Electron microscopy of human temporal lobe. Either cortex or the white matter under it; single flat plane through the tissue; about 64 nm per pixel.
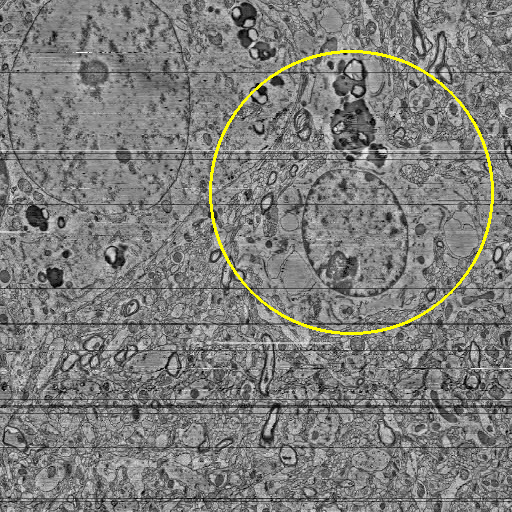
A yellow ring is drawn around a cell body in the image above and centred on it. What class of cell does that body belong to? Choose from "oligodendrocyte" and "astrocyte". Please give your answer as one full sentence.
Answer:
The yellow ring above is centred on the cell body of an astrocyte.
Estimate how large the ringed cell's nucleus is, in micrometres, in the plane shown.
In this plane, about 9 micrometres in length and 7 in width.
